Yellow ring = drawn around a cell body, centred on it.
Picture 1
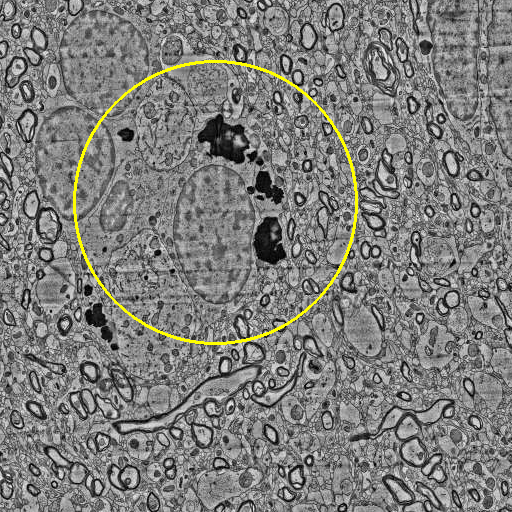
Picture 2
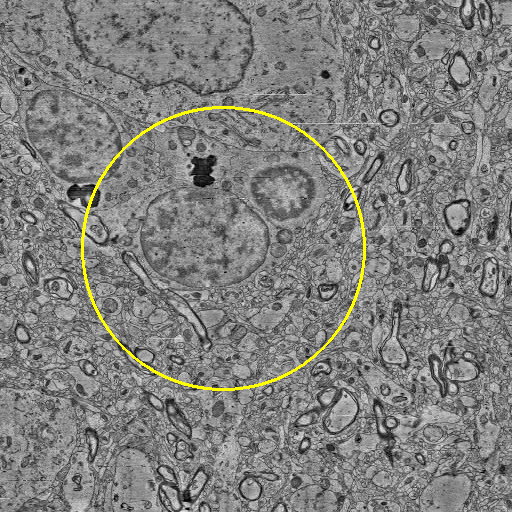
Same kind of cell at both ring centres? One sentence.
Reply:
Yes, they are the same kind of cell.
